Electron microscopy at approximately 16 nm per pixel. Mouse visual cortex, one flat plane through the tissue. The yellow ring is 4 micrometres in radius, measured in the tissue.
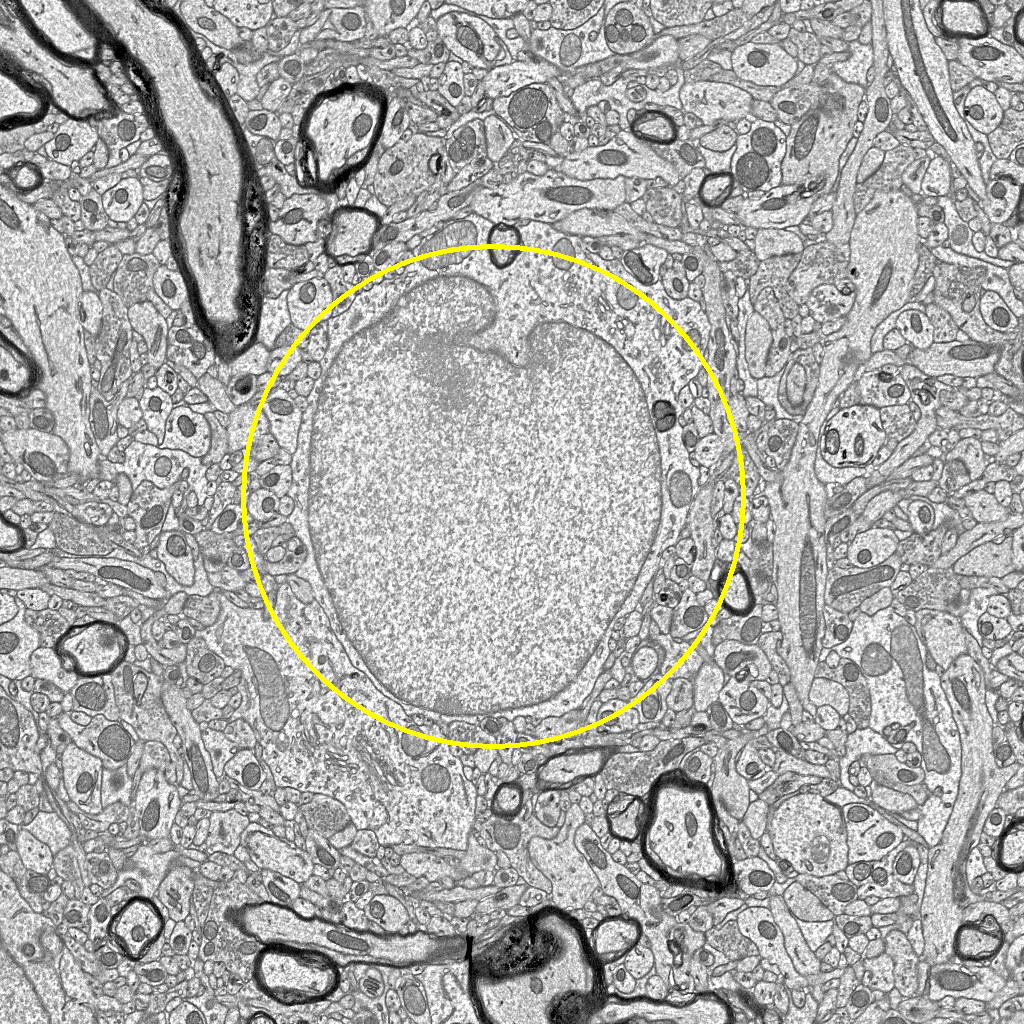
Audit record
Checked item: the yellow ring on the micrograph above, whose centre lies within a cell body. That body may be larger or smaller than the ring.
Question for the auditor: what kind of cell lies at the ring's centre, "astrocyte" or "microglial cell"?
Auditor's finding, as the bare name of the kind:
astrocyte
